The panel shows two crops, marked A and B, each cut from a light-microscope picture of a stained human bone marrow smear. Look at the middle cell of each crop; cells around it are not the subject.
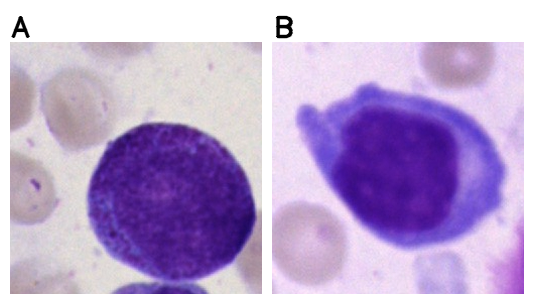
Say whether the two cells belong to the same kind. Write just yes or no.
no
